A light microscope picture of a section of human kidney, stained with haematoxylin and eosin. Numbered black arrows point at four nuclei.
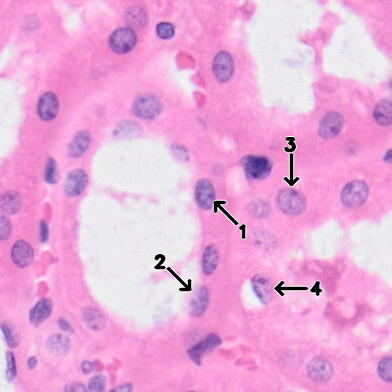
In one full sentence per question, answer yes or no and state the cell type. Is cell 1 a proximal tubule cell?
No, number 1 does not mark a proximal tubule cell; it marks a loop of Henle or distal tubule cell.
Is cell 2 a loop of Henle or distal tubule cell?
Yes, the marked cell with number 2 is a loop of Henle or distal tubule cell.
